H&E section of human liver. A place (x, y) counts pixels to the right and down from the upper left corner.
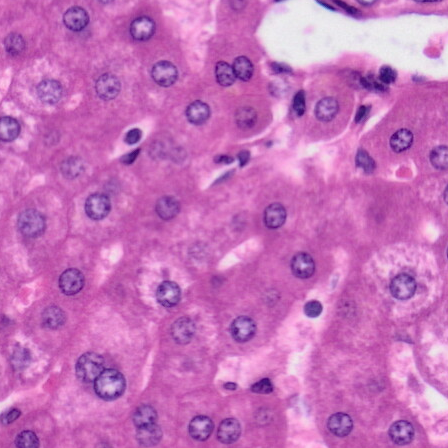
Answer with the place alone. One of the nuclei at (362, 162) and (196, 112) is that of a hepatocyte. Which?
(196, 112)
